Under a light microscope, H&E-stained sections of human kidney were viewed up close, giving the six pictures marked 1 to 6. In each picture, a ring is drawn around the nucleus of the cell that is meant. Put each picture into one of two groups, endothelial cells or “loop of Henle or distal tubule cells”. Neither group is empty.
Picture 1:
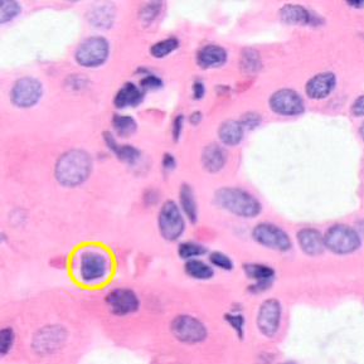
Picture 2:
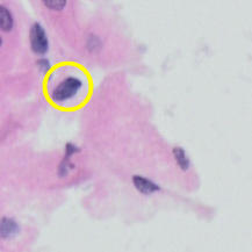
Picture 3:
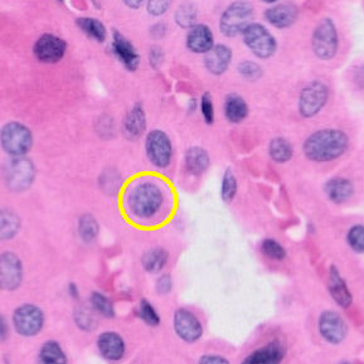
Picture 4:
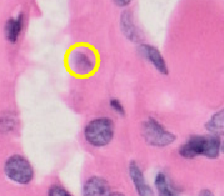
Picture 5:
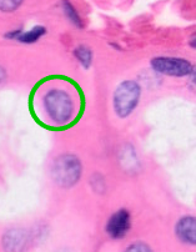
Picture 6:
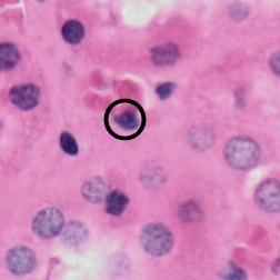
1: endothelial cell
2: endothelial cell
3: loop of Henle or distal tubule cell
4: loop of Henle or distal tubule cell
5: loop of Henle or distal tubule cell
6: endothelial cell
